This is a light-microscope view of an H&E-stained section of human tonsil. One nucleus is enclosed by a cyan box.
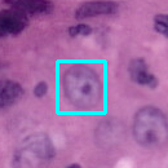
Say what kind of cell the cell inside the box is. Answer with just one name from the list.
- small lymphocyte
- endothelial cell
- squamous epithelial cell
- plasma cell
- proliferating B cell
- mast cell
squamous epithelial cell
